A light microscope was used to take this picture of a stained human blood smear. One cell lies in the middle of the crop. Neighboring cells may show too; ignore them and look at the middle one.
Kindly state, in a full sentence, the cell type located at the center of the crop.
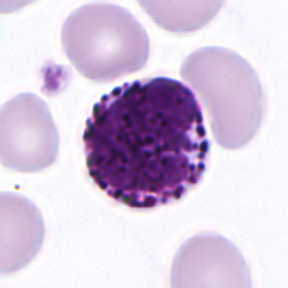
The central cell, amid any neighbouring cells, is a basophil.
